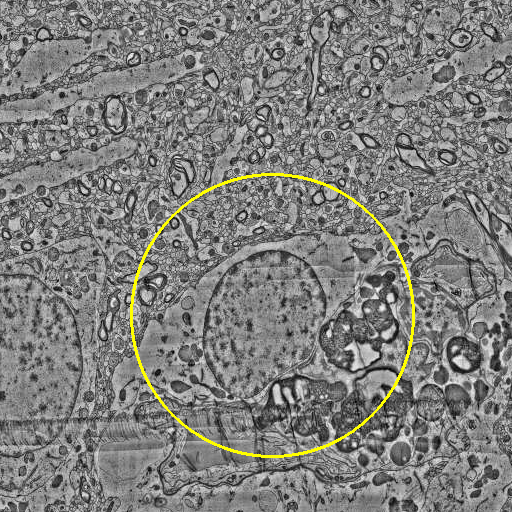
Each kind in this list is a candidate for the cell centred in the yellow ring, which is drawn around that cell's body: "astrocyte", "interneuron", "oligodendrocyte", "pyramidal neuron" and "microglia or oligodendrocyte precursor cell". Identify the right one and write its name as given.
astrocyte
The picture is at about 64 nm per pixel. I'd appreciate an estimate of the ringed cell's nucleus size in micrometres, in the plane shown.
Roughly 10 micrometres by 8 micrometres, in this plane.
